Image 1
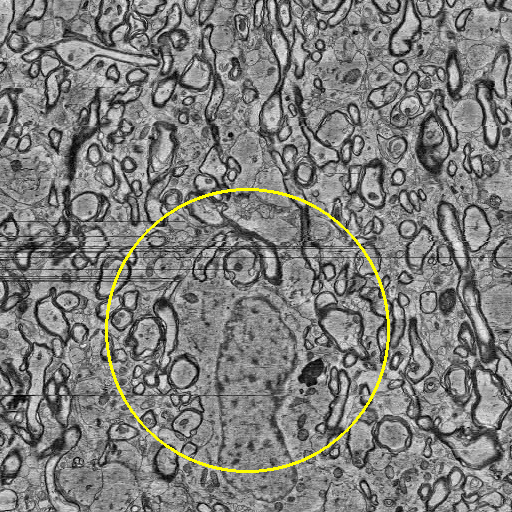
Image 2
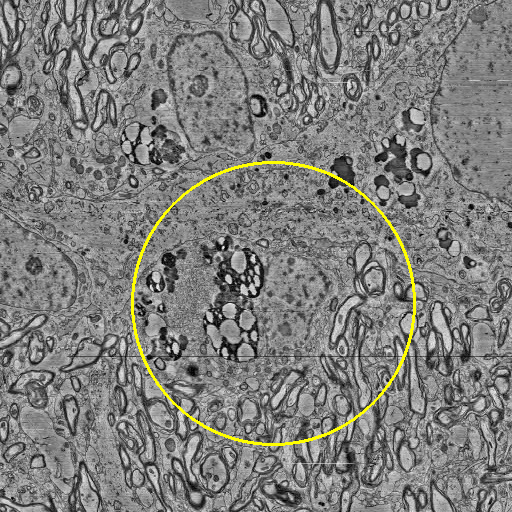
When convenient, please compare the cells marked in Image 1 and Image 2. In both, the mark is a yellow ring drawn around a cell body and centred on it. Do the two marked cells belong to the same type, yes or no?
yes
